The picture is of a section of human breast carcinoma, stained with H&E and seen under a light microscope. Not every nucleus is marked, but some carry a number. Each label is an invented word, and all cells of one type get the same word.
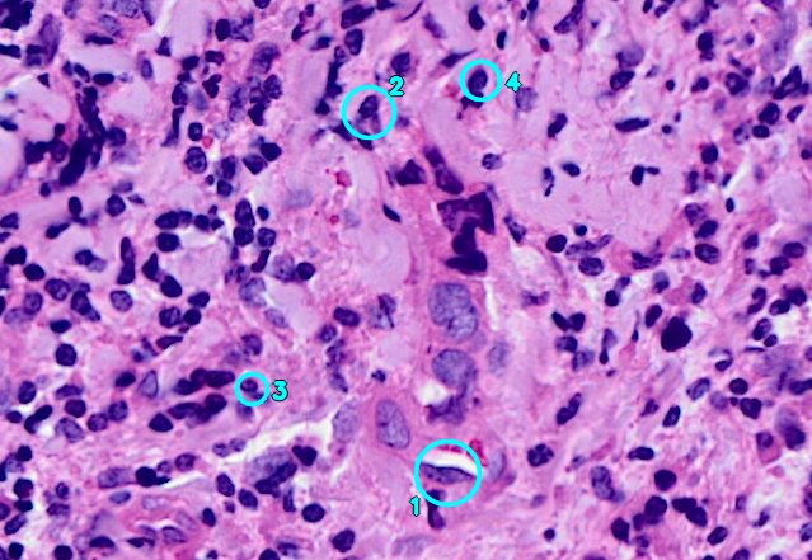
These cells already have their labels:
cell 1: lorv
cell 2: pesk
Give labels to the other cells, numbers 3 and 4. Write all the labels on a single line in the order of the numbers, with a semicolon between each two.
pesk; pesk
